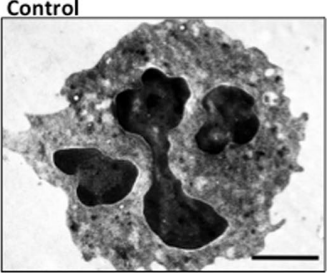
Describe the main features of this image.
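A single neutrophil seen in thin section by electron microscopy. The cell is roughly rounded with an irregular, slightly ruffled surface bearing short projections. Its nucleus is split into several dense, dark lobes of different sizes, some joined by narrow strands, lying across the centre of the cell. The chromatin is evenly dark. The surrounding cytoplasm is moderately grey and finely granular, with scattered small pale vesicles and a few darker granules, especially toward the periphery. The cell appears intact, with a continuous boundary against the pale background.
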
